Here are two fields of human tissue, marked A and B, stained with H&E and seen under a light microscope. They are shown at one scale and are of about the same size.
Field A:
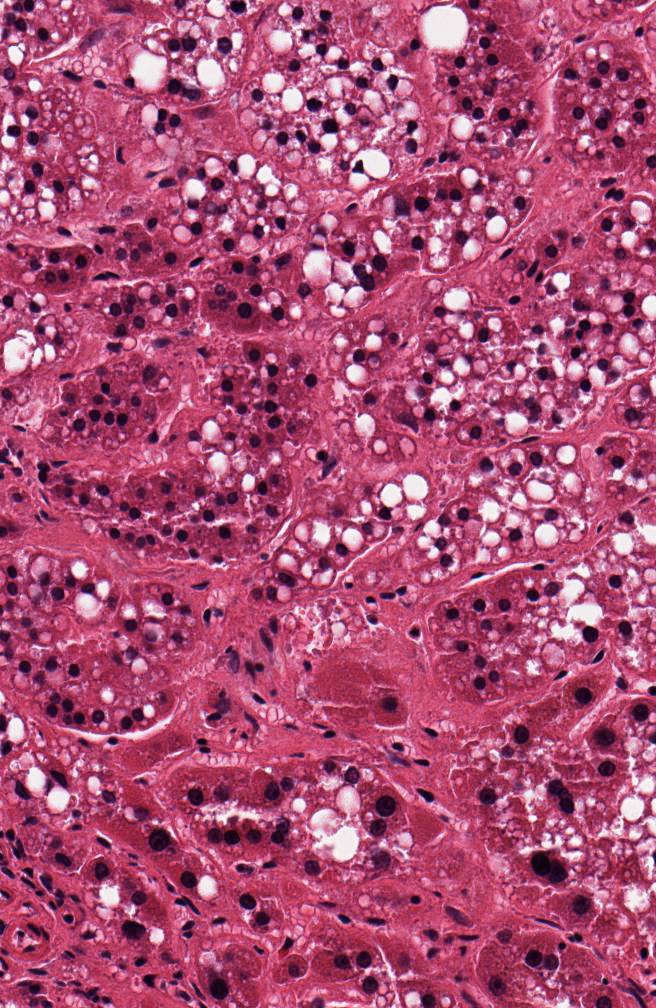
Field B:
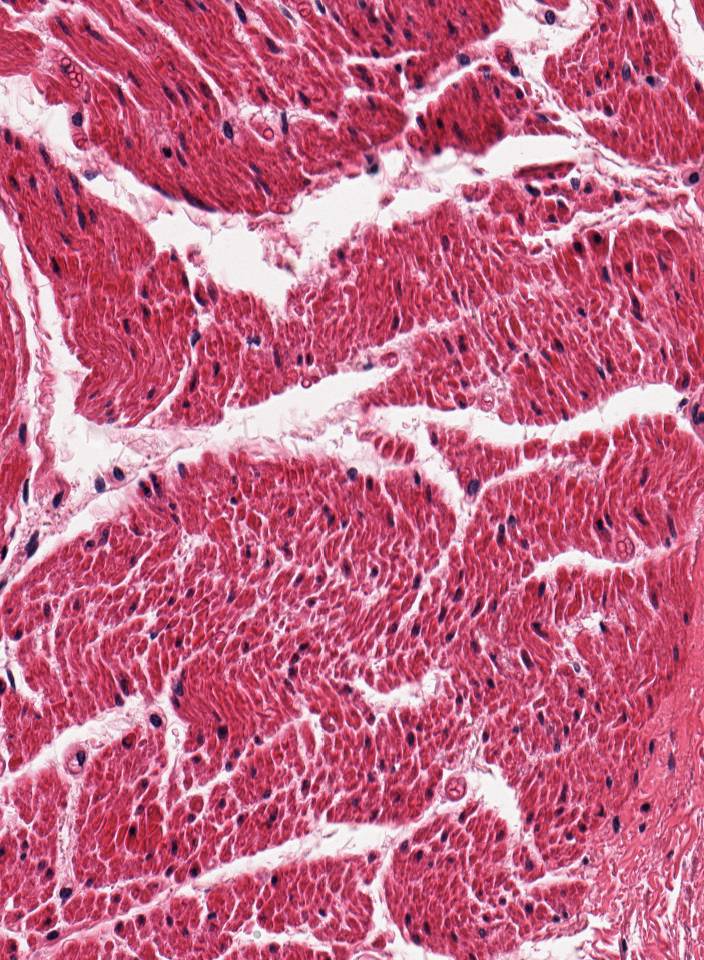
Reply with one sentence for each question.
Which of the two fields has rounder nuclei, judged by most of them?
The nuclei are rounder in field A.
